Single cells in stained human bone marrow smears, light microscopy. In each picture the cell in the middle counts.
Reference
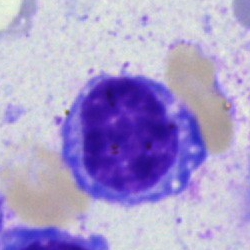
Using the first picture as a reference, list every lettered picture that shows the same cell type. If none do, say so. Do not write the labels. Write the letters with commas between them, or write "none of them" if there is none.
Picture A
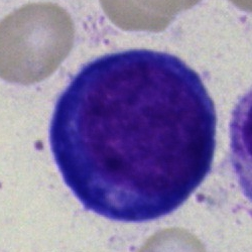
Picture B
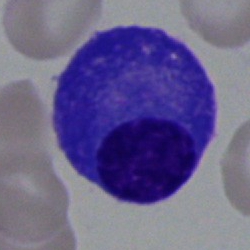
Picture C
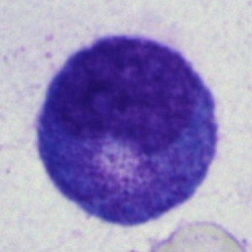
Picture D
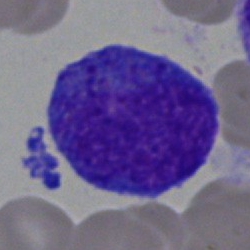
B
